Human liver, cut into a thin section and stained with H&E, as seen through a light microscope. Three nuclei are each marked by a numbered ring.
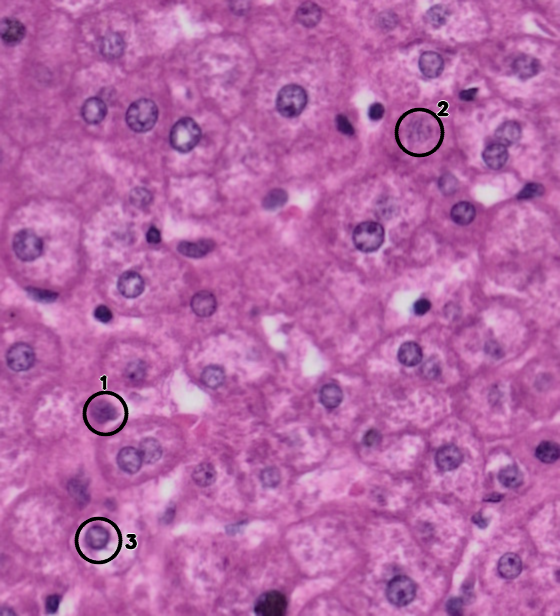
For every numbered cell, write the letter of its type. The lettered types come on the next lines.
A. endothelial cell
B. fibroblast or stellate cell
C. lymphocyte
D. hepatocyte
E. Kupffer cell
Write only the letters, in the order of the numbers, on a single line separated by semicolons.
E; D; D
